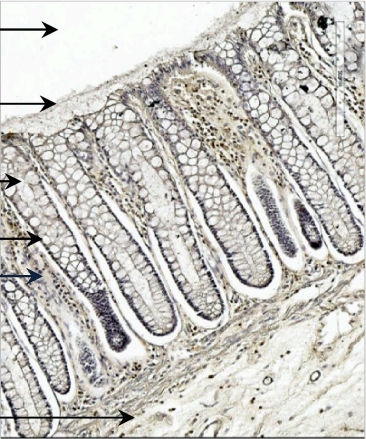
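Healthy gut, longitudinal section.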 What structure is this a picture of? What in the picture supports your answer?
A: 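Parallel straight tubular glands run from the surface down toward the deeper tissue. Each gland is lined by a single layer of epithelium full of pale, rounded vacuolated cells. So: epithelial crypts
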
